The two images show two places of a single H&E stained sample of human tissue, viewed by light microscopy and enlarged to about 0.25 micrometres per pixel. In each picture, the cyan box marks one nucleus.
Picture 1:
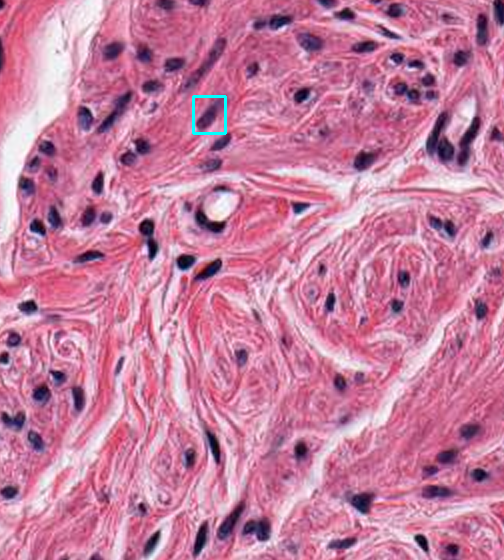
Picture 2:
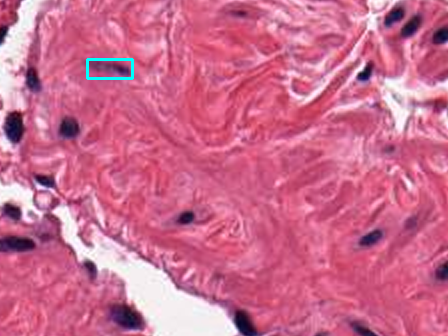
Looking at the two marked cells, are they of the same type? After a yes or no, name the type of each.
Yes, both are smooth muscle cells.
